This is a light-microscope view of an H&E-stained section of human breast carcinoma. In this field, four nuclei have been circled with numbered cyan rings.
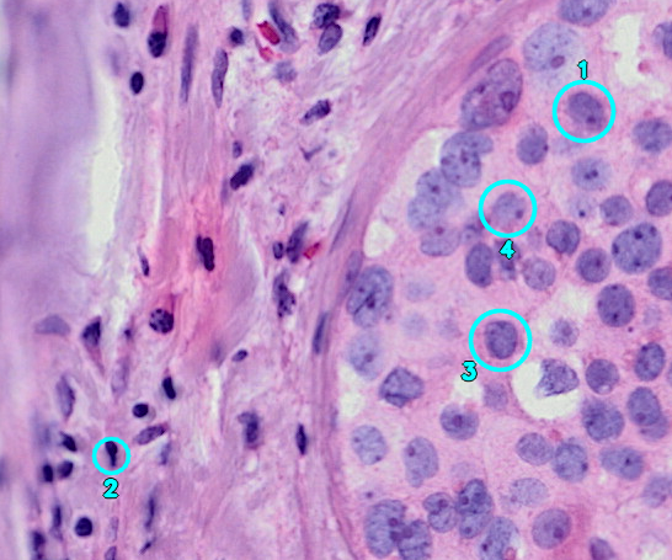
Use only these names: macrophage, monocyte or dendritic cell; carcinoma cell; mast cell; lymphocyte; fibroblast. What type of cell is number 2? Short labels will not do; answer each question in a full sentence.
Number 2 is placed on a lymphocyte here.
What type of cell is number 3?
The cell marked with number 3 is a carcinoma cell.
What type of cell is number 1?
The correct label for cell 1 is a carcinoma cell.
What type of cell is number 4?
The marked cell bearing number 4 is a carcinoma cell.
